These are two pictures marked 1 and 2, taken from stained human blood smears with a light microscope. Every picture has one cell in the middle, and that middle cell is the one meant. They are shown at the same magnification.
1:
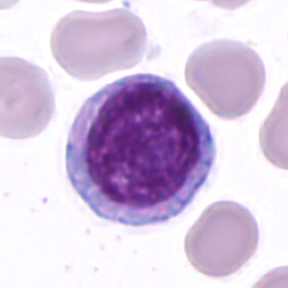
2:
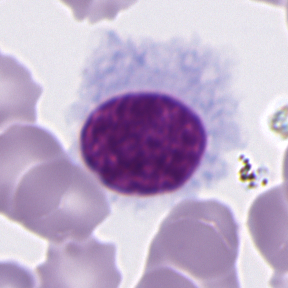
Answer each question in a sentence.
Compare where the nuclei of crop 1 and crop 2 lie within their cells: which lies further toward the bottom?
The nucleus in crop 2 lies further toward the bottom of its cell.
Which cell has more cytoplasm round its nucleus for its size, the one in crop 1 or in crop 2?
The nucleus fills less of the cell in crop 2 than in crop 1.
